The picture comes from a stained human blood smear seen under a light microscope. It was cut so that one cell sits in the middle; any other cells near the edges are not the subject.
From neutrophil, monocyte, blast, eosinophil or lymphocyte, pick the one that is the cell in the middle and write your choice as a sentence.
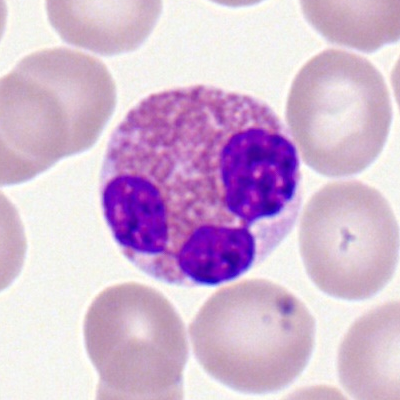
In the centre of this crop there is an eosinophil.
